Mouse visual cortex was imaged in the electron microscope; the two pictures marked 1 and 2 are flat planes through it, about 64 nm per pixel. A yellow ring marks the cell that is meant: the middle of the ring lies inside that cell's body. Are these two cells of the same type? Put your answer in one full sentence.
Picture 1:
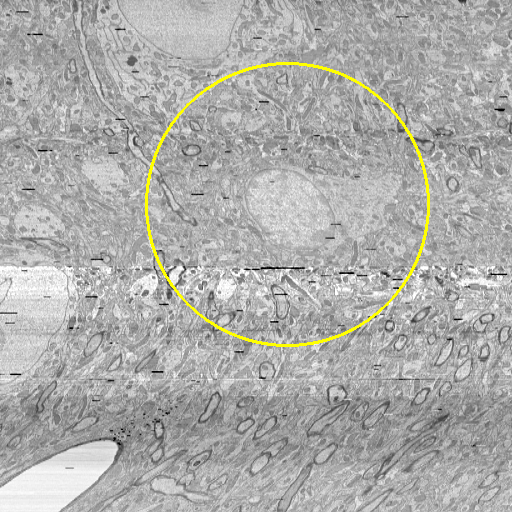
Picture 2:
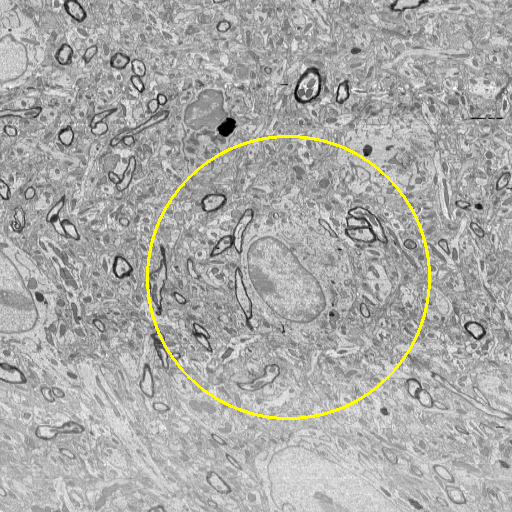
Yes; the cells in both pictures are oligodendrocytes.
